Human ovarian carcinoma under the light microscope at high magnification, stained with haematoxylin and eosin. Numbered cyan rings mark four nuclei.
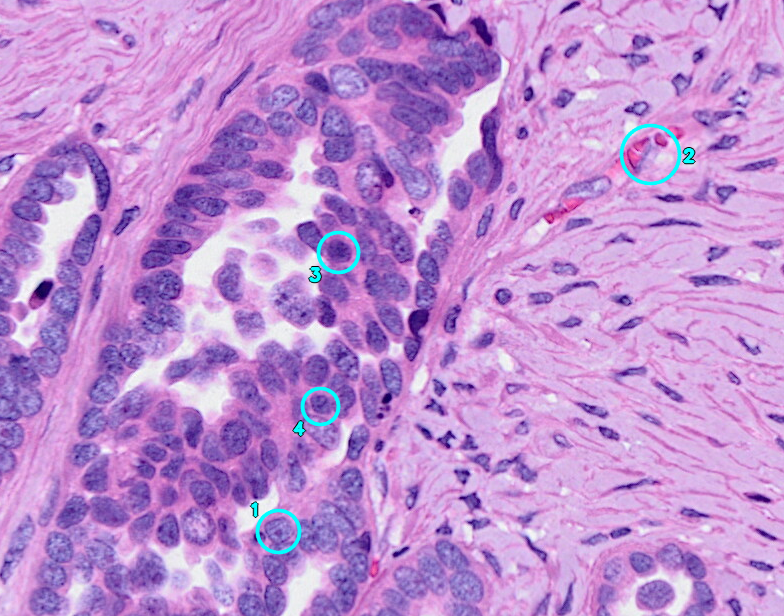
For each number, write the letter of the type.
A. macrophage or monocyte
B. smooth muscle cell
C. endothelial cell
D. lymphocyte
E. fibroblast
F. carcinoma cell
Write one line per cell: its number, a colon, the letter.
1: F
2: C
3: F
4: F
